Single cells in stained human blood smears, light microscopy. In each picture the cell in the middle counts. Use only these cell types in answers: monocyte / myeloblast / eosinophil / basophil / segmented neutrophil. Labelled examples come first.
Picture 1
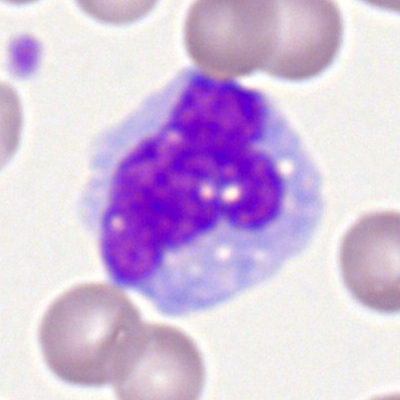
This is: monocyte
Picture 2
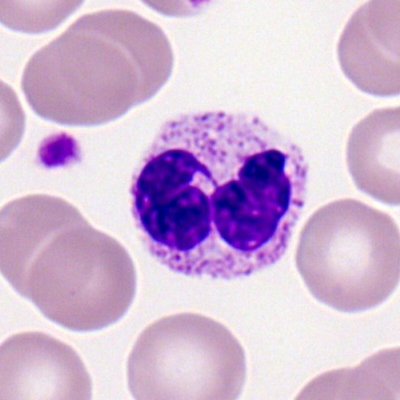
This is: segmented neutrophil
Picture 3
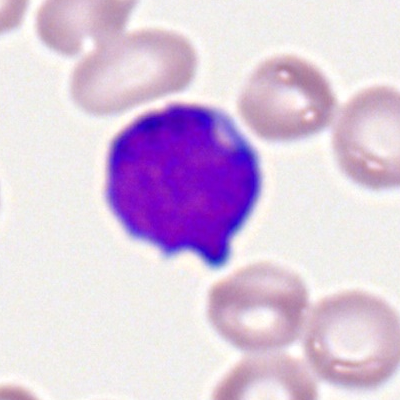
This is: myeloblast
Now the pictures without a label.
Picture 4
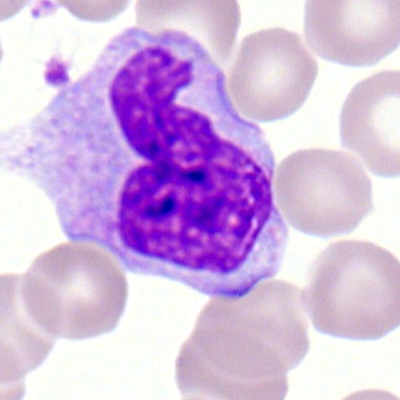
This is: monocyte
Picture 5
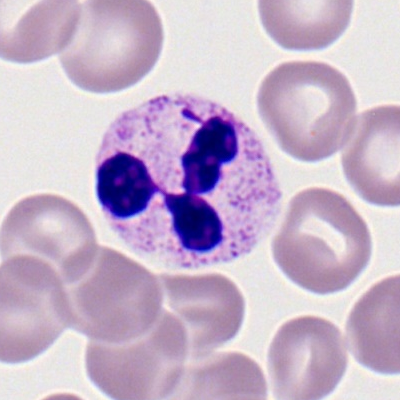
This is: segmented neutrophil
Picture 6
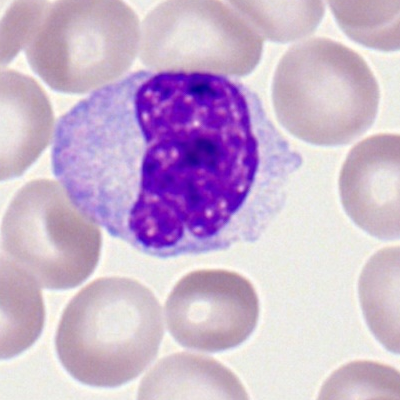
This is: monocyte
